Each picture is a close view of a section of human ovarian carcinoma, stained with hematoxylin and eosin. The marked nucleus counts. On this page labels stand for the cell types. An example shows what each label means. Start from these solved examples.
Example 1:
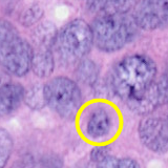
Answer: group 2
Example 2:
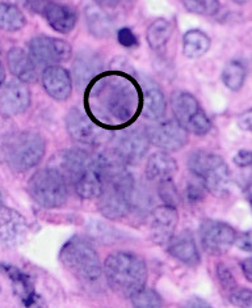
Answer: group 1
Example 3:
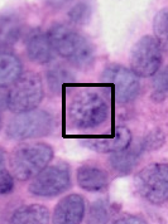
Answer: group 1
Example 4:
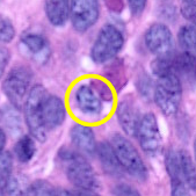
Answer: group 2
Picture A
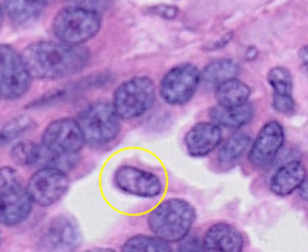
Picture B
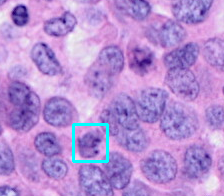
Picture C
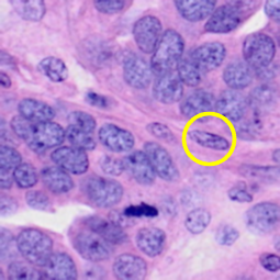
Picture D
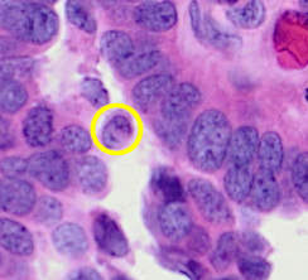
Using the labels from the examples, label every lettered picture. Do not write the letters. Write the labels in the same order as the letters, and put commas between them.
group 2, group 2, group 2, group 2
